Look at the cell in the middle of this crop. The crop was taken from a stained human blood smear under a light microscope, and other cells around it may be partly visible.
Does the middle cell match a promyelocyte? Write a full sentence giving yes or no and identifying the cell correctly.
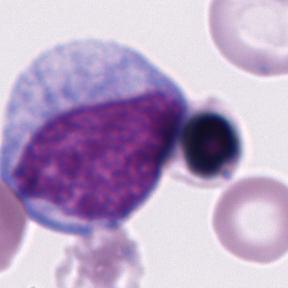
Yes, the cell in the centre is a promyelocyte.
